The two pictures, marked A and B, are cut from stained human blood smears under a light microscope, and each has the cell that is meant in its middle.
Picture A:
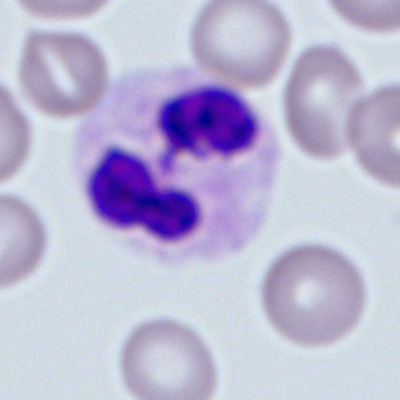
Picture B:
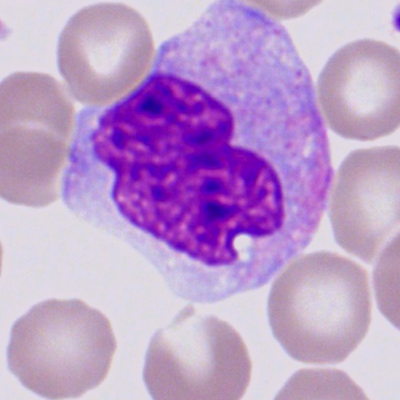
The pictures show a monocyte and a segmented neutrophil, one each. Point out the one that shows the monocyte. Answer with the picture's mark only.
B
